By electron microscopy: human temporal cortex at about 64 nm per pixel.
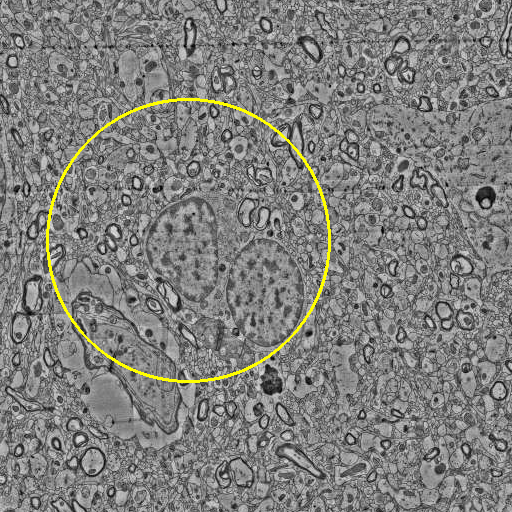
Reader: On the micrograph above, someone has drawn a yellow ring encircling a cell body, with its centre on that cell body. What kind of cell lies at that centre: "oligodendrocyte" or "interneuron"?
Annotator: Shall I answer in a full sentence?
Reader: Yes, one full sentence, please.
Here an oligodendrocyte sits at the centre of the yellow ring drawn on the micrograph.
